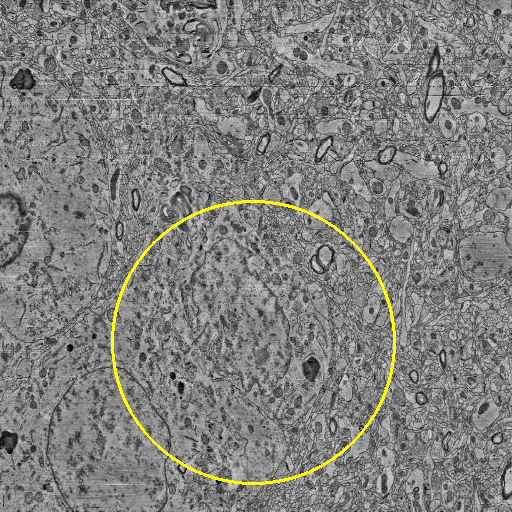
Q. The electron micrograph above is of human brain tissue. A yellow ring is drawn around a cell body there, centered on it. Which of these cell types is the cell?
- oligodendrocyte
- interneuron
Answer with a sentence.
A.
The cell under the ring's center is an interneuron.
